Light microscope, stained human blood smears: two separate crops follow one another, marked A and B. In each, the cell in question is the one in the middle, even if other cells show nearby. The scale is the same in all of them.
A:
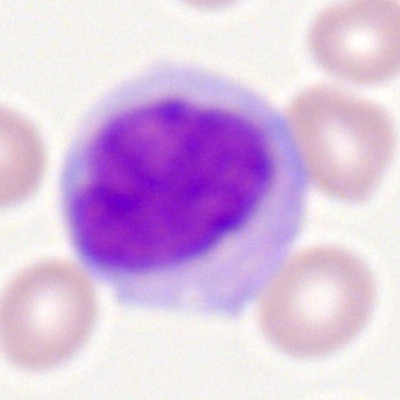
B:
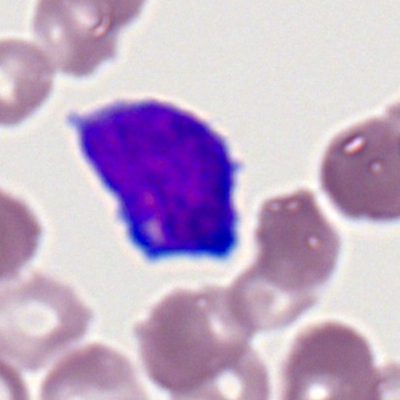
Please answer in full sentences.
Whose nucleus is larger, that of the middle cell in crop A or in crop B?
The nucleus in crop A is larger, with about 1.5 times the area of the one in crop B.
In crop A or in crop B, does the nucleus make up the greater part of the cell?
Of the two, the nucleus in crop B makes up the greater part of its cell.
